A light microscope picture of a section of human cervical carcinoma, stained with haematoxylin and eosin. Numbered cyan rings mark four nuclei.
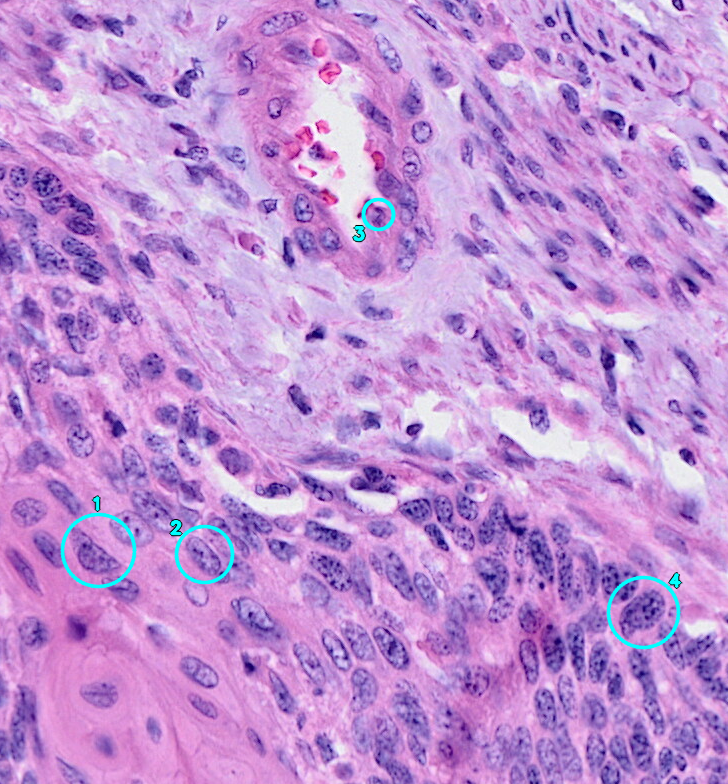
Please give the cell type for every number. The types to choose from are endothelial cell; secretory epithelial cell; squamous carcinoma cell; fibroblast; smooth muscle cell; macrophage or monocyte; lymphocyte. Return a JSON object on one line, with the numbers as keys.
{"1": "squamous carcinoma cell", "2": "squamous carcinoma cell", "3": "endothelial cell", "4": "squamous carcinoma cell"}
